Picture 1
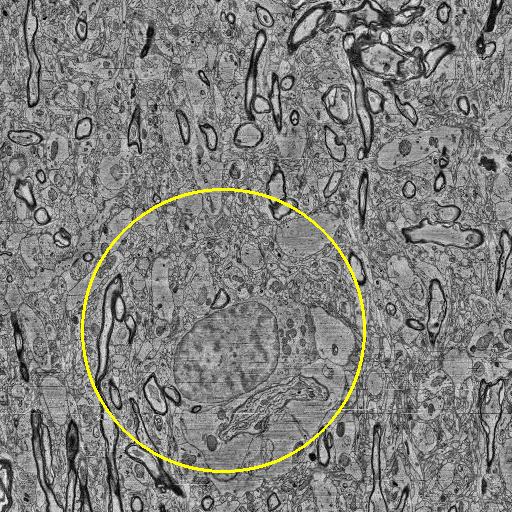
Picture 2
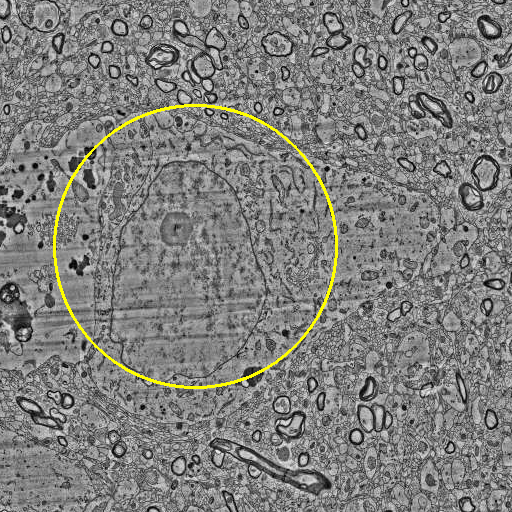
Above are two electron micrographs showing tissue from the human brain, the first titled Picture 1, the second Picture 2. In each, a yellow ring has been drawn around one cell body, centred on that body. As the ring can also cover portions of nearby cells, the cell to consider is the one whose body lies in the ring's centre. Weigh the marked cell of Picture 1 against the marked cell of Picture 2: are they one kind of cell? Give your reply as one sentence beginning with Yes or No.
No, the two cells sitting at the ring centres in the pictures are of two kinds.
